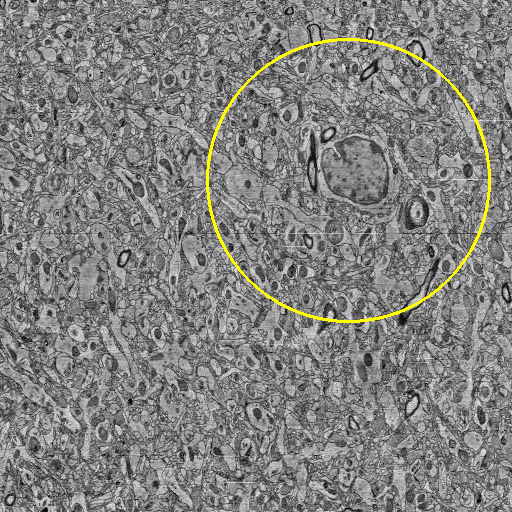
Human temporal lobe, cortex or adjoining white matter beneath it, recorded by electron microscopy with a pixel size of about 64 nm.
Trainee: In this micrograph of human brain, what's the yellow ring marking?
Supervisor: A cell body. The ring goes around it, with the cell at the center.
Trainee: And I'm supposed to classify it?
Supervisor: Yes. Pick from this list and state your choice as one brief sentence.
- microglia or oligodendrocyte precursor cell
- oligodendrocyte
The cell at the ring's center is a microglial cell or oligodendrocyte precursor cell.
